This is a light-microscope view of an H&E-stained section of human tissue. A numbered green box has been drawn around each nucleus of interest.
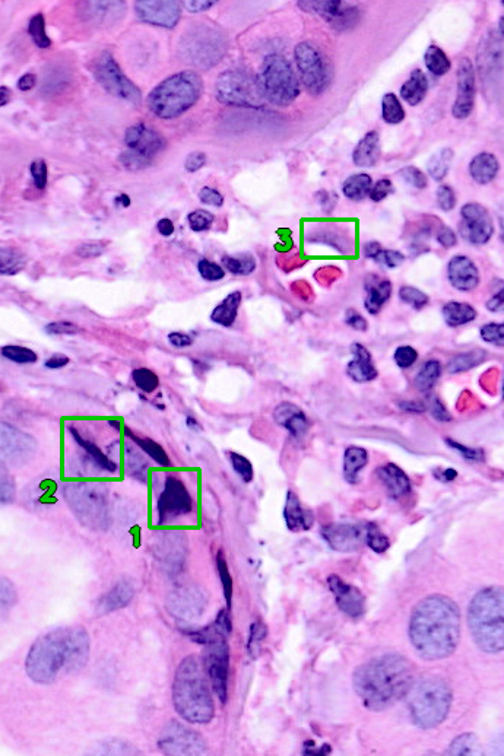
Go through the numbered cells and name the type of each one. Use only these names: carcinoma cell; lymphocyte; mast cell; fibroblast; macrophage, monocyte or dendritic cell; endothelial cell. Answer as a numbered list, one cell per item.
1. carcinoma cell
2. carcinoma cell
3. endothelial cell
